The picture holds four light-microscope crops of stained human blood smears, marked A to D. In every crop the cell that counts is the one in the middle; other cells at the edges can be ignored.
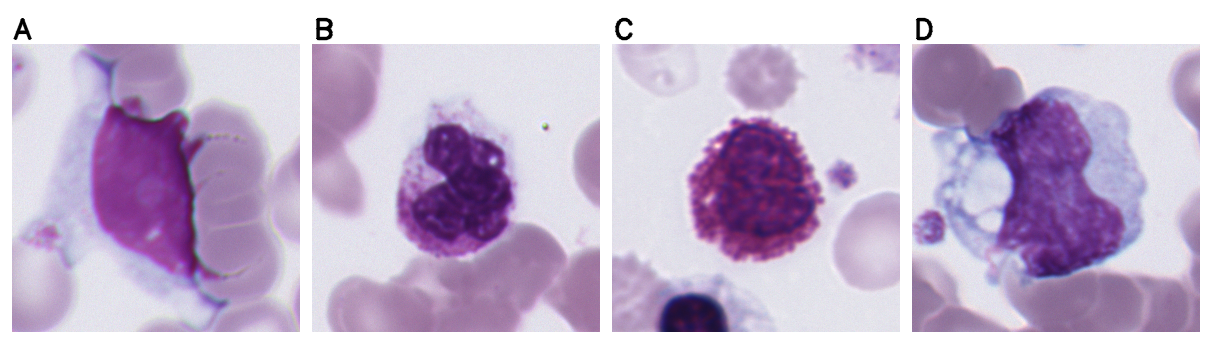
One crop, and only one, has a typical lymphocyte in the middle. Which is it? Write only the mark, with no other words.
A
